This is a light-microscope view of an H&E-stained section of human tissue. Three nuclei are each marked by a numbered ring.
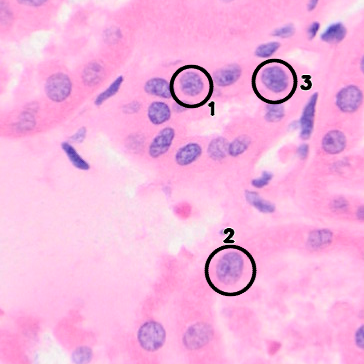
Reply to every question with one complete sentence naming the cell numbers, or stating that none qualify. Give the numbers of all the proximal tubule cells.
Only the cell at mark 2 is a proximal tubule cell, and no other marked cell is.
